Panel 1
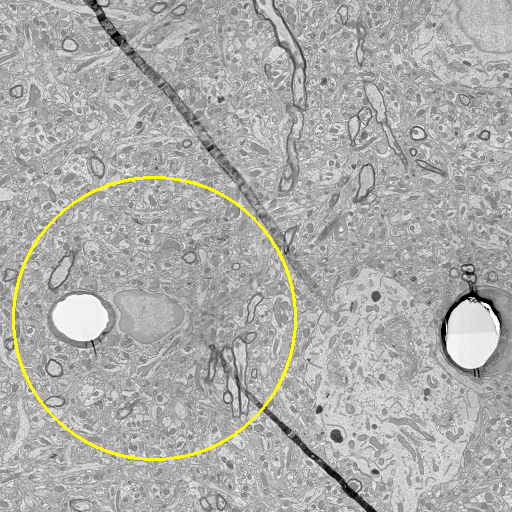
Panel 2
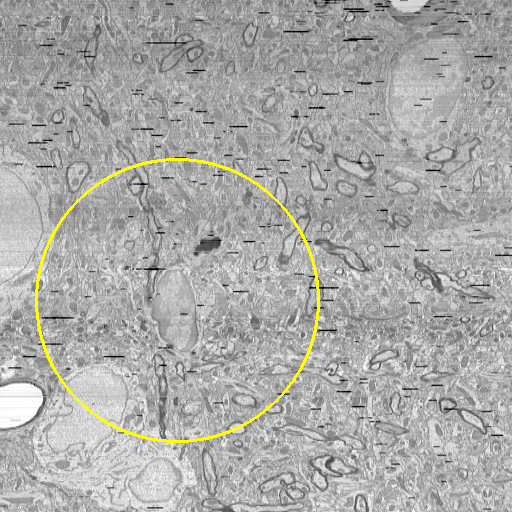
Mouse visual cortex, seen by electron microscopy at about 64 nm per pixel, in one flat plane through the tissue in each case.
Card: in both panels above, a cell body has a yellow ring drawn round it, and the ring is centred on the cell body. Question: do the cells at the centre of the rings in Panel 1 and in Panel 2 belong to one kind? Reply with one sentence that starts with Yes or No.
Yes, the cells centred in the rings of Panel 1 and Panel 2 are one kind of cell.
